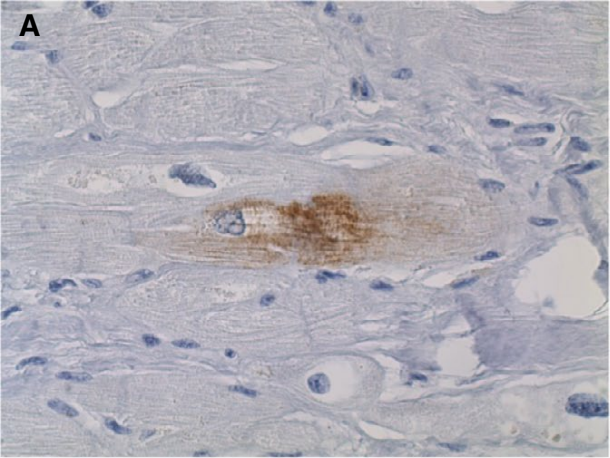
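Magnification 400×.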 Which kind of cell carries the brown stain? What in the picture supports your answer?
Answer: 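Faint cross-striations run across the neighbouring fibres. Fibres lie side by side separated by thin interstitium with small nuclei. The answer: cardiomyocytes.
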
